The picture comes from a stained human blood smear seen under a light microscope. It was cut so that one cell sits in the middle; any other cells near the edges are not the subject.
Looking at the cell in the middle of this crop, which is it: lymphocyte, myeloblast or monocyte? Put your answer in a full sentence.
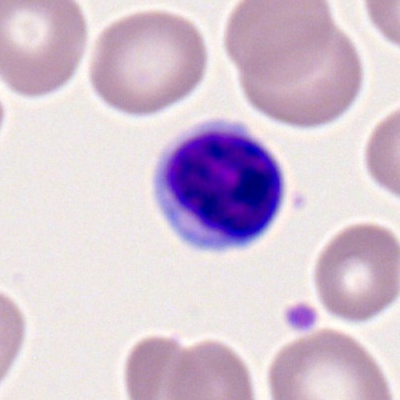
This crop's central cell is a lymphocyte.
